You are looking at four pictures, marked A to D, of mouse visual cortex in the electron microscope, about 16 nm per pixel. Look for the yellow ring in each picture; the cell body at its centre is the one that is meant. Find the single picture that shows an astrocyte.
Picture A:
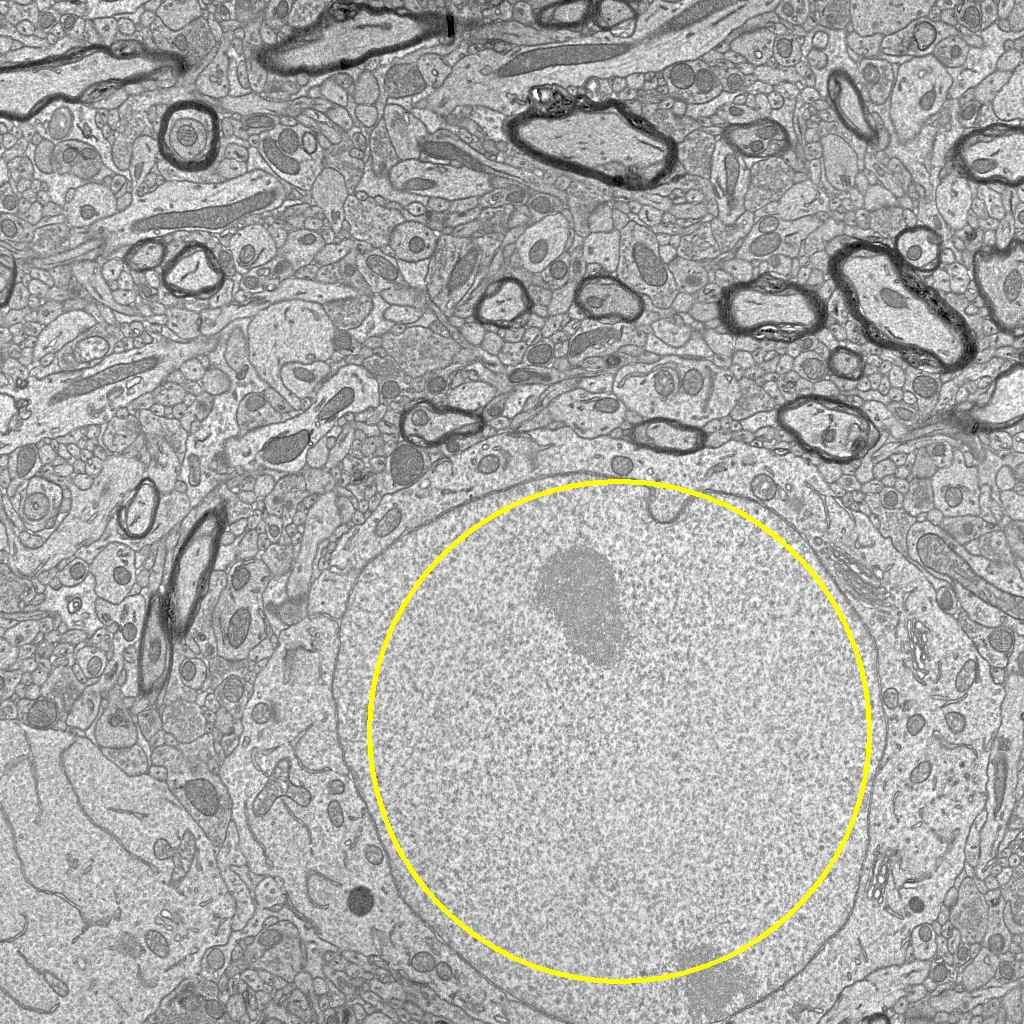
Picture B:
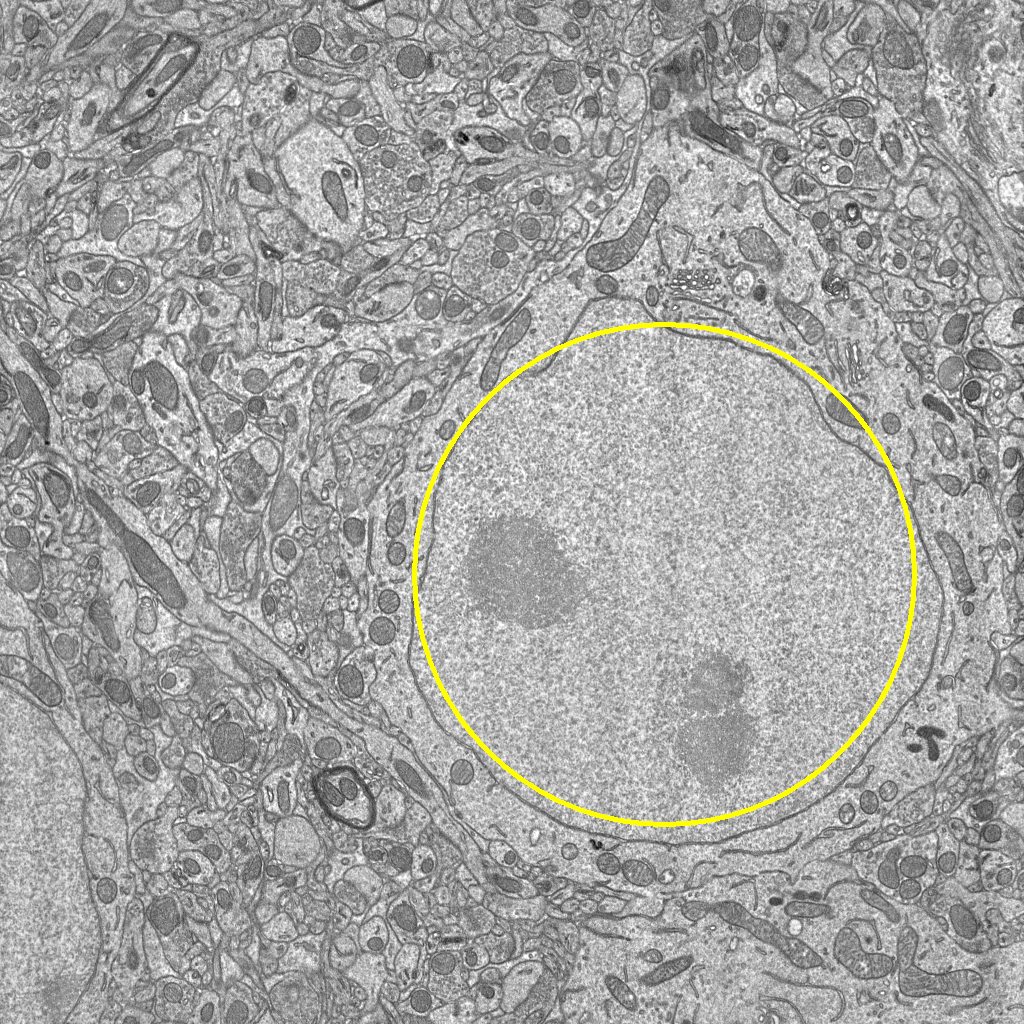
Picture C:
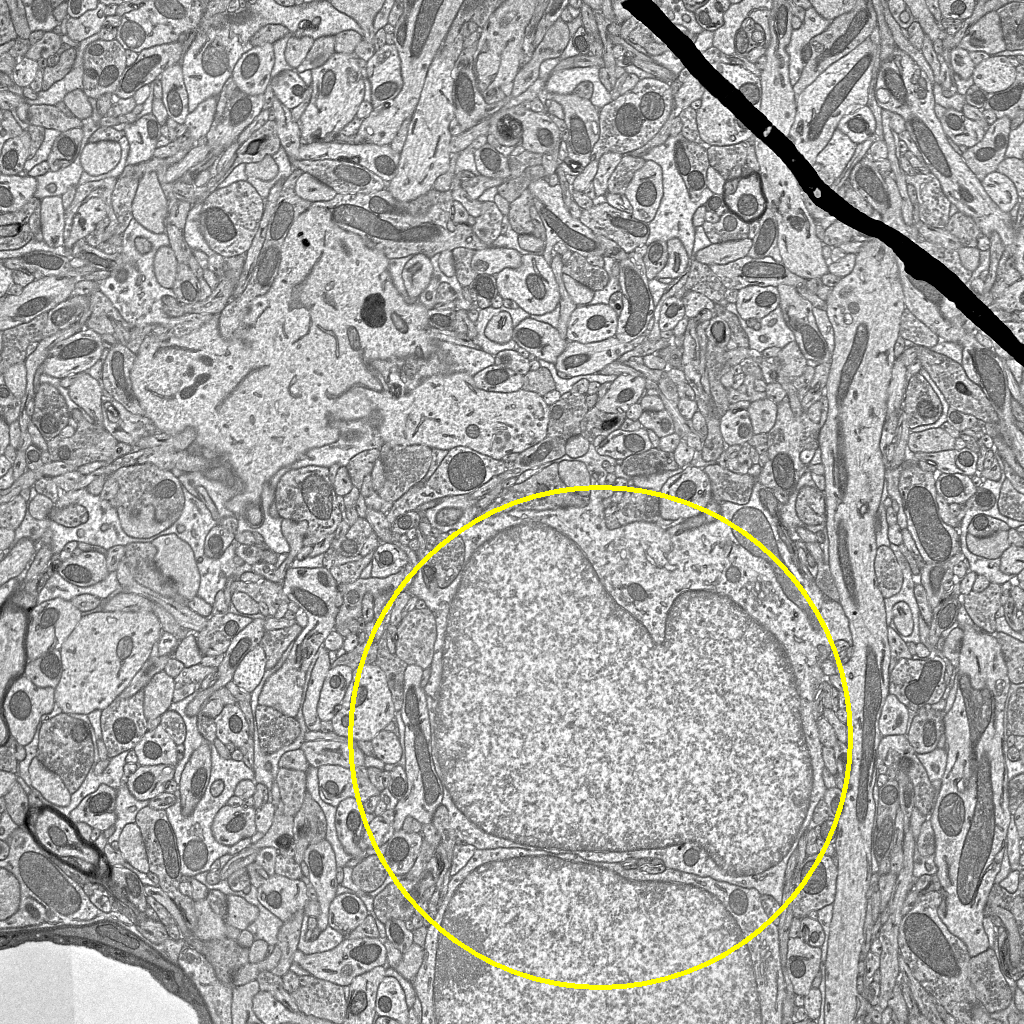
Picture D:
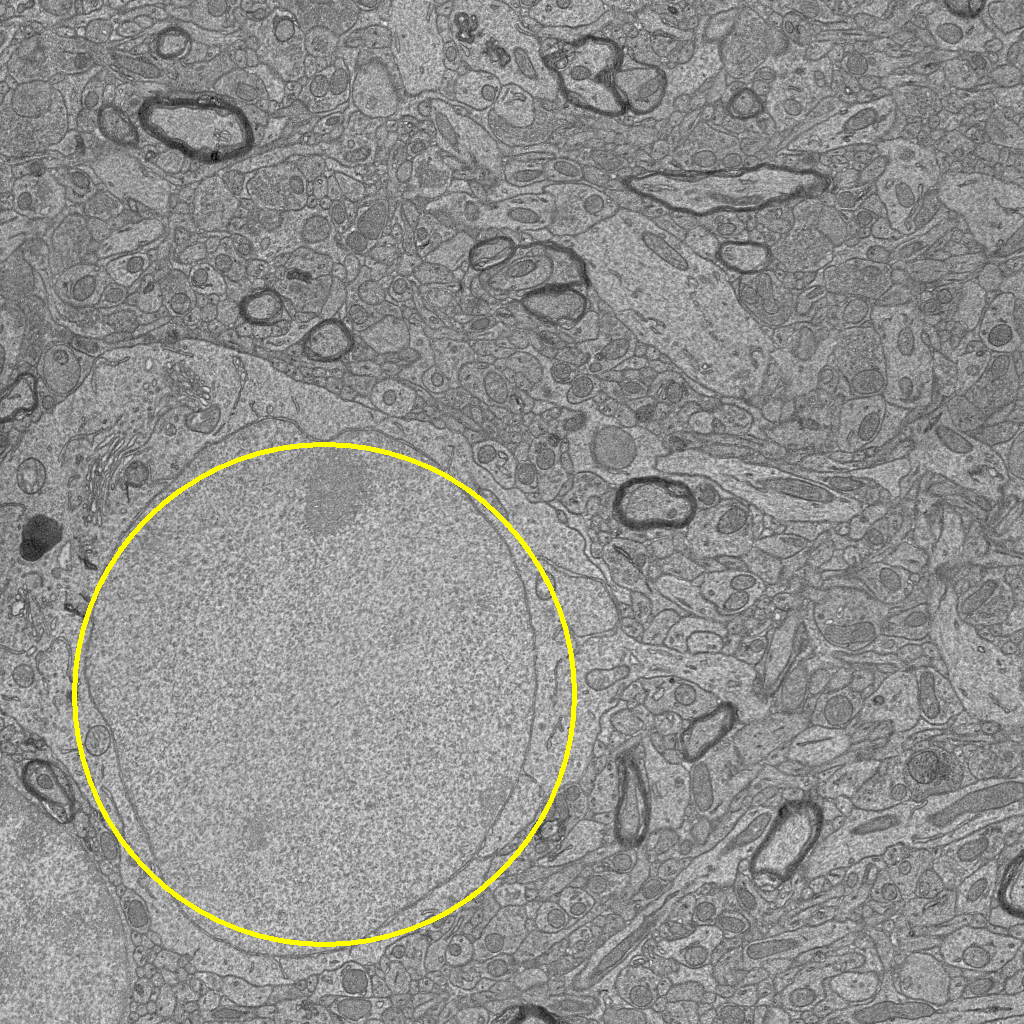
Picture C shows the astrocyte.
